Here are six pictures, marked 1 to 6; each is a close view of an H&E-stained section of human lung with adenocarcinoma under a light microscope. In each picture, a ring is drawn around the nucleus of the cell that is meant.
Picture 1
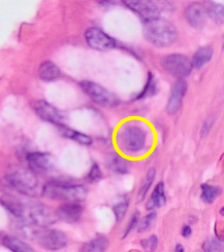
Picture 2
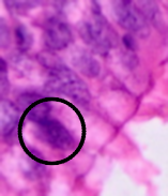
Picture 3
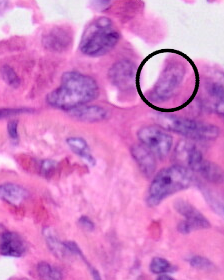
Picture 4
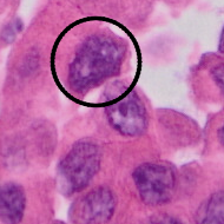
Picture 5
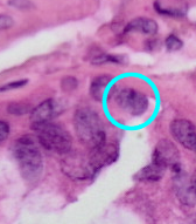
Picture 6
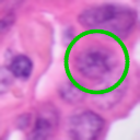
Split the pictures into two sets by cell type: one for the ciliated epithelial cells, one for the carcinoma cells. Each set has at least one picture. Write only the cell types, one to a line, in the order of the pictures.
ciliated epithelial cell
ciliated epithelial cell
carcinoma cell
carcinoma cell
ciliated epithelial cell
carcinoma cell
